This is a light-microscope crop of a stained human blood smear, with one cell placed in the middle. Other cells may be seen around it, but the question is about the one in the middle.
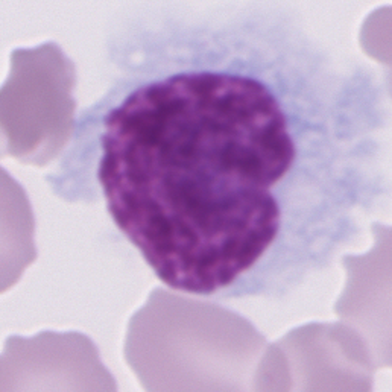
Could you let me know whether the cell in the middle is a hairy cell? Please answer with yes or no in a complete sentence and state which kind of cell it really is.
Yes, the cell centred in the field of view is a hairy cell.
